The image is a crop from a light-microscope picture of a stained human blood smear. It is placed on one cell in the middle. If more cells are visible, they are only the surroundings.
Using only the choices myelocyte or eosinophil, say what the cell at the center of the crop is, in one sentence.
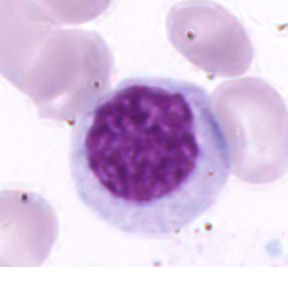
Whatever else lies nearby, the middle cell is a myelocyte.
